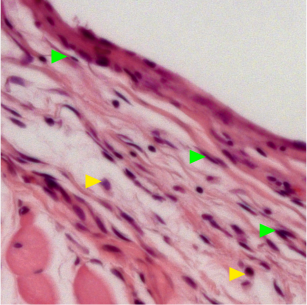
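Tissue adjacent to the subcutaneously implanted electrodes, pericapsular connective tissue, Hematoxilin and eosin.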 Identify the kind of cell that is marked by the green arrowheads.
Fibroblasts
